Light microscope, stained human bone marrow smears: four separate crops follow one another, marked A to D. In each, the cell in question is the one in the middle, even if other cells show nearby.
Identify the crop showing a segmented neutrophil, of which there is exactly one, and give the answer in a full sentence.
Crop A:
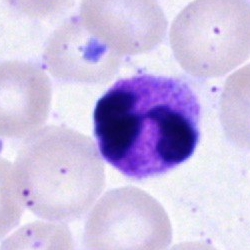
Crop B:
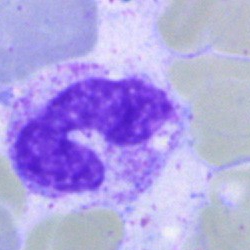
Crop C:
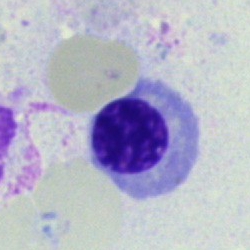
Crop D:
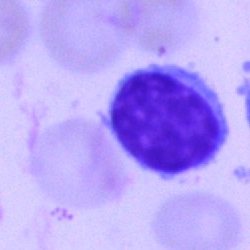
Crop A alone, of all the crops, shows a segmented neutrophil.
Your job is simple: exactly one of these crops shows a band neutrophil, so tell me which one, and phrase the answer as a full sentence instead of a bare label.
It is crop B, not any other, that shows a band neutrophil.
